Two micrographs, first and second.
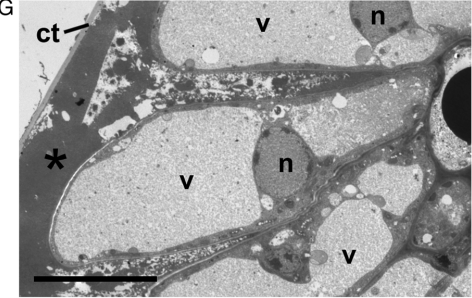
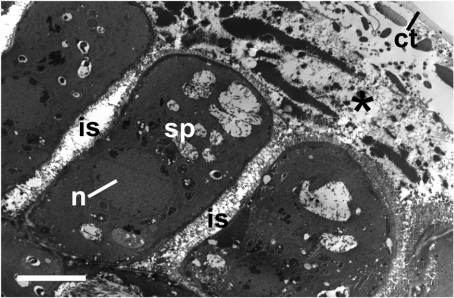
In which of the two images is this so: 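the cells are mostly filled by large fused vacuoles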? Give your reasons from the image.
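The first image. First image: large pale vacuoles occupy most of each cell, with cytoplasm reduced to the edges. Second image: the cells are filled with dense dark cytoplasm with only small vacuoles.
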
